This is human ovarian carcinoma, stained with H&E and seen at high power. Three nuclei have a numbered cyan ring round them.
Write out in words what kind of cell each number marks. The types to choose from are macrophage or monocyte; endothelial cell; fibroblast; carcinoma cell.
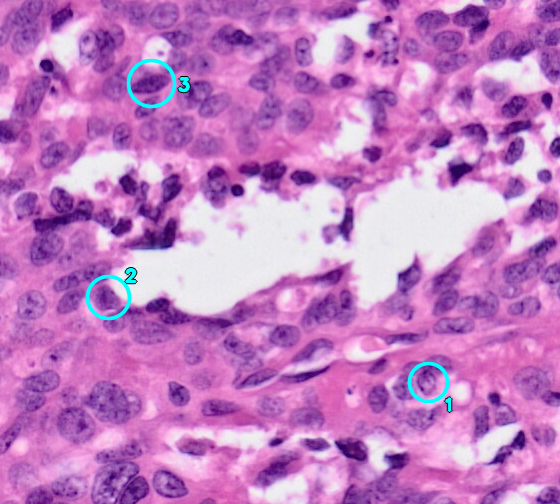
Cell 1 is a macrophage or monocyte. Cells 2 and 3 are carcinoma cells.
